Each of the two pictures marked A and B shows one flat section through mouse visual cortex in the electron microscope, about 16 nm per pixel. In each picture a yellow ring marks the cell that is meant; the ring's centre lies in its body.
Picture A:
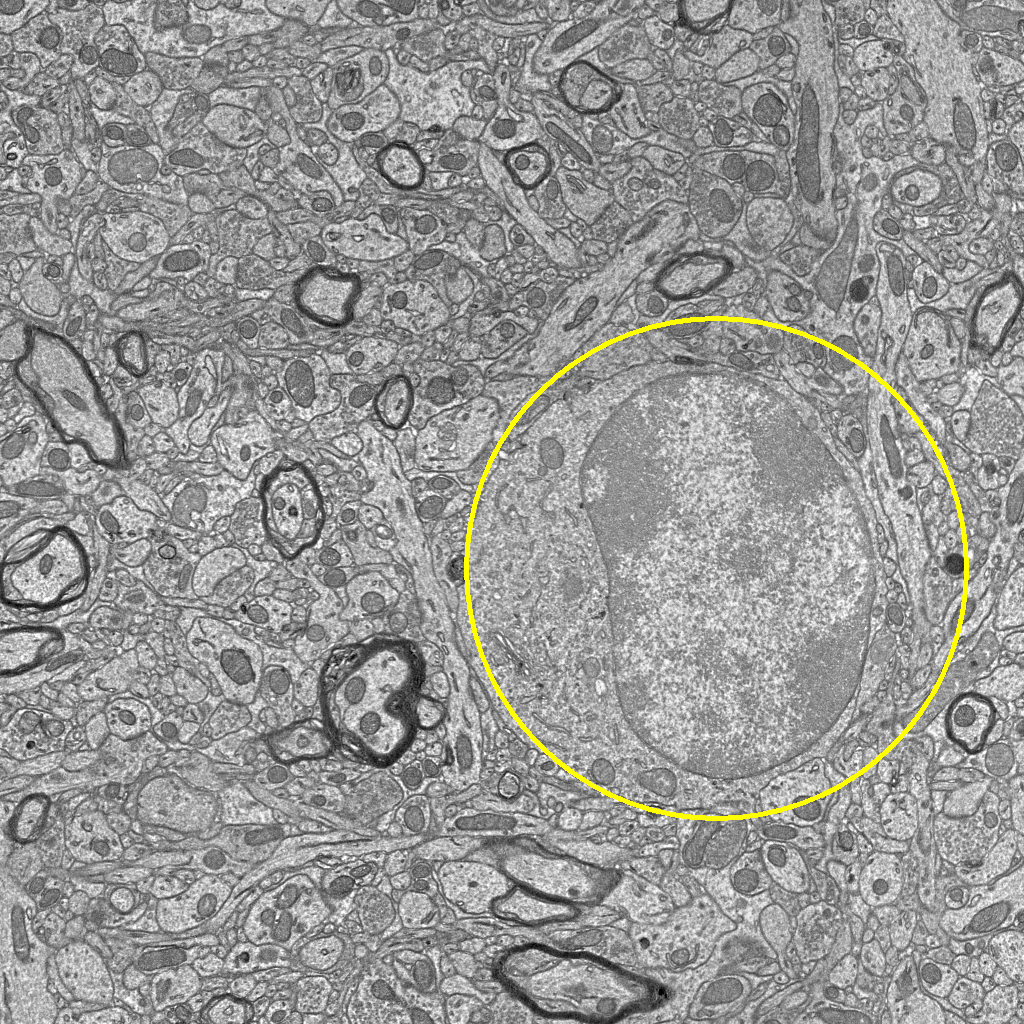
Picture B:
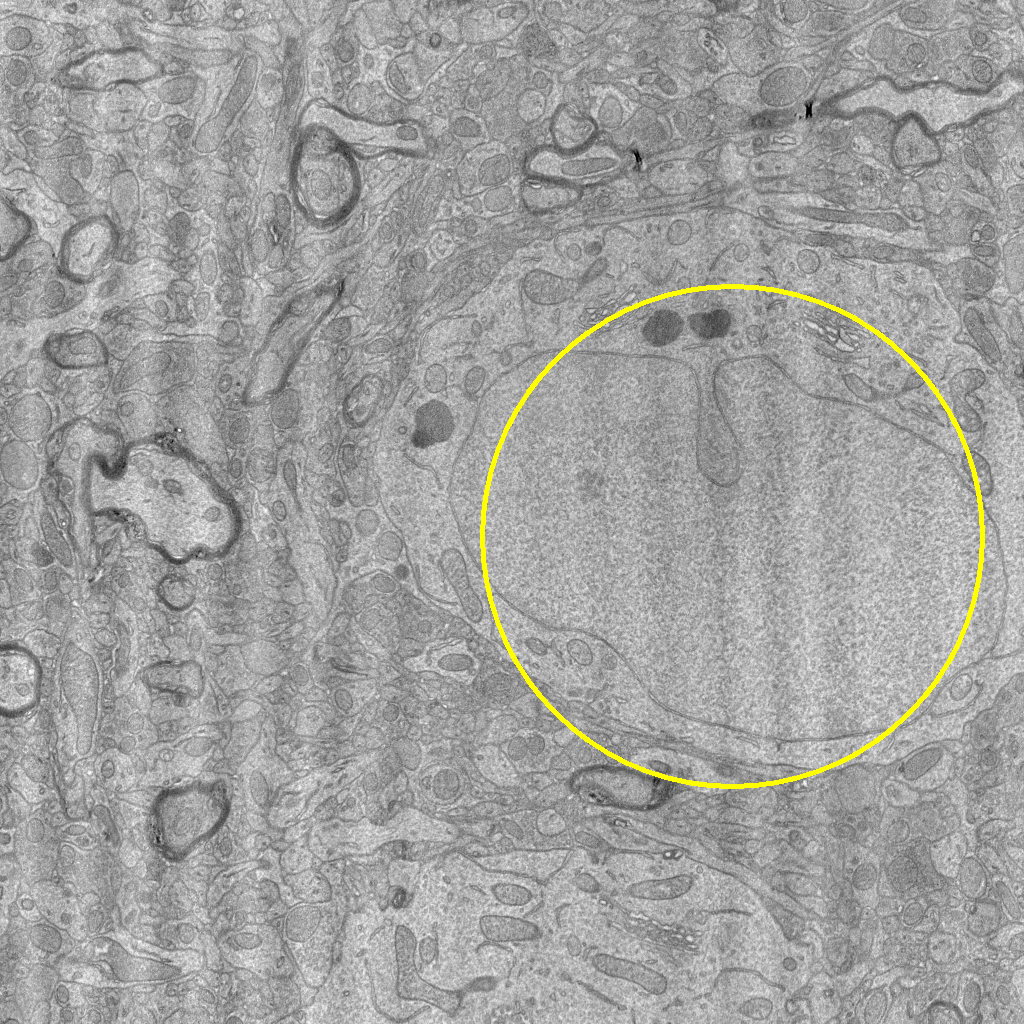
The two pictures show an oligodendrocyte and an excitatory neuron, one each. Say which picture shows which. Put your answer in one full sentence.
It is picture A that shows an oligodendrocyte, and picture B that shows an excitatory neuron.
